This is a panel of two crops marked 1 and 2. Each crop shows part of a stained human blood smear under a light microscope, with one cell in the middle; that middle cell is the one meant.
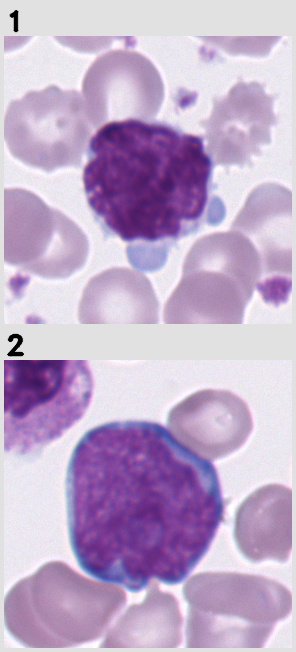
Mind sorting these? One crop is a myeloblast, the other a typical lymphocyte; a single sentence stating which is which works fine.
Within crop 1 sits a typical lymphocyte, and within crop 2 sits a myeloblast.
